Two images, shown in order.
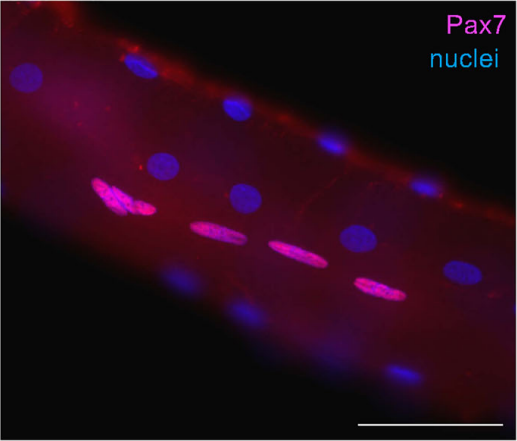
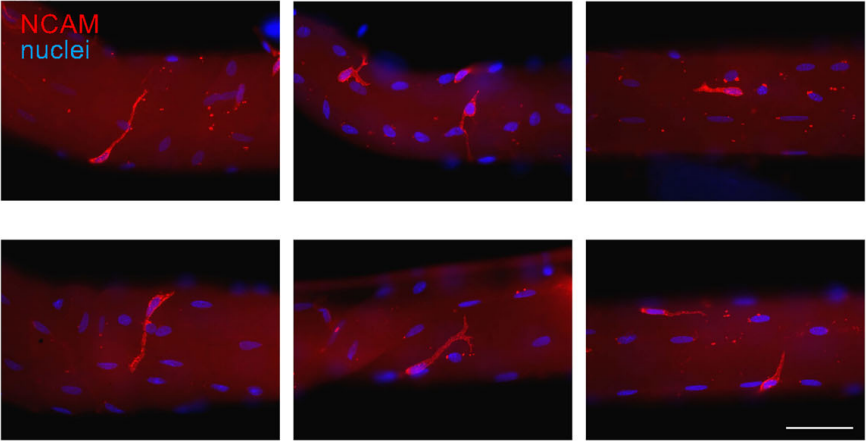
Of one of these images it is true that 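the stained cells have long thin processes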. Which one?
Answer: The second image.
